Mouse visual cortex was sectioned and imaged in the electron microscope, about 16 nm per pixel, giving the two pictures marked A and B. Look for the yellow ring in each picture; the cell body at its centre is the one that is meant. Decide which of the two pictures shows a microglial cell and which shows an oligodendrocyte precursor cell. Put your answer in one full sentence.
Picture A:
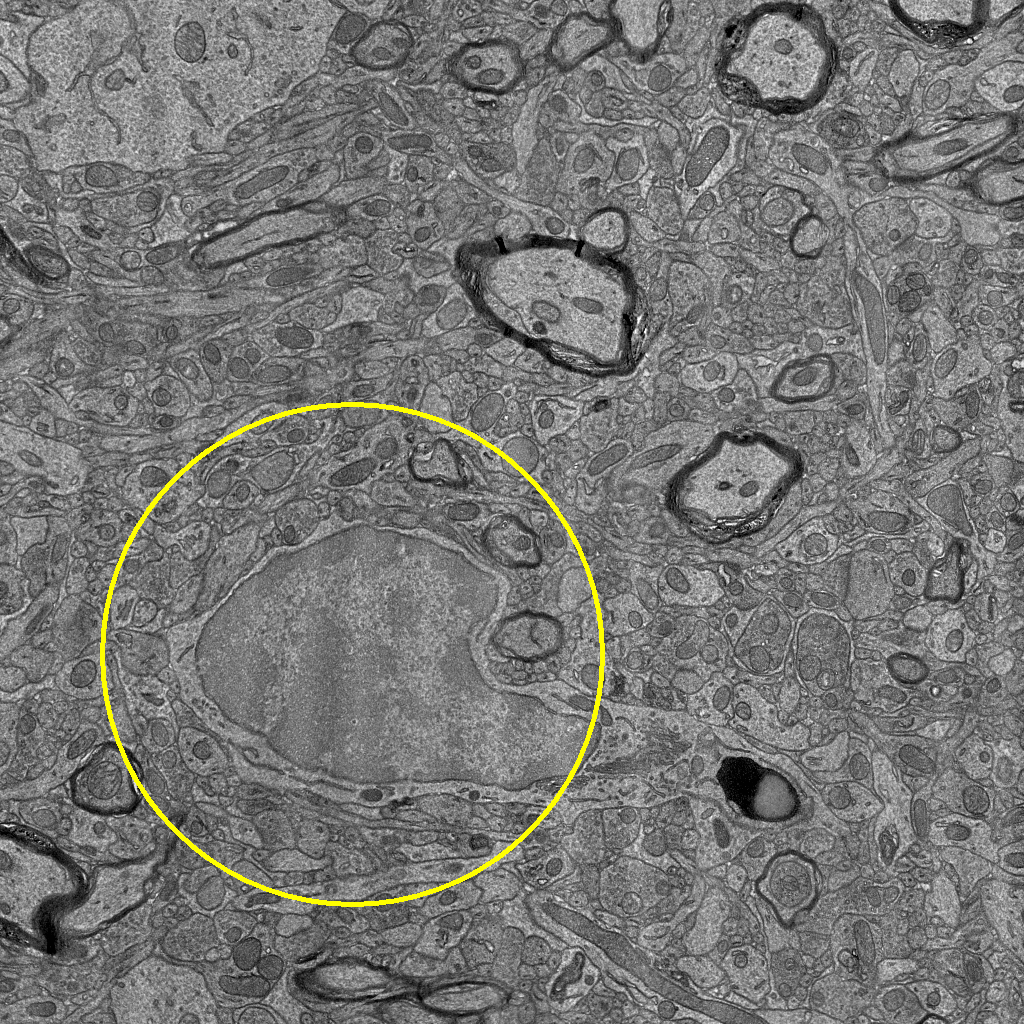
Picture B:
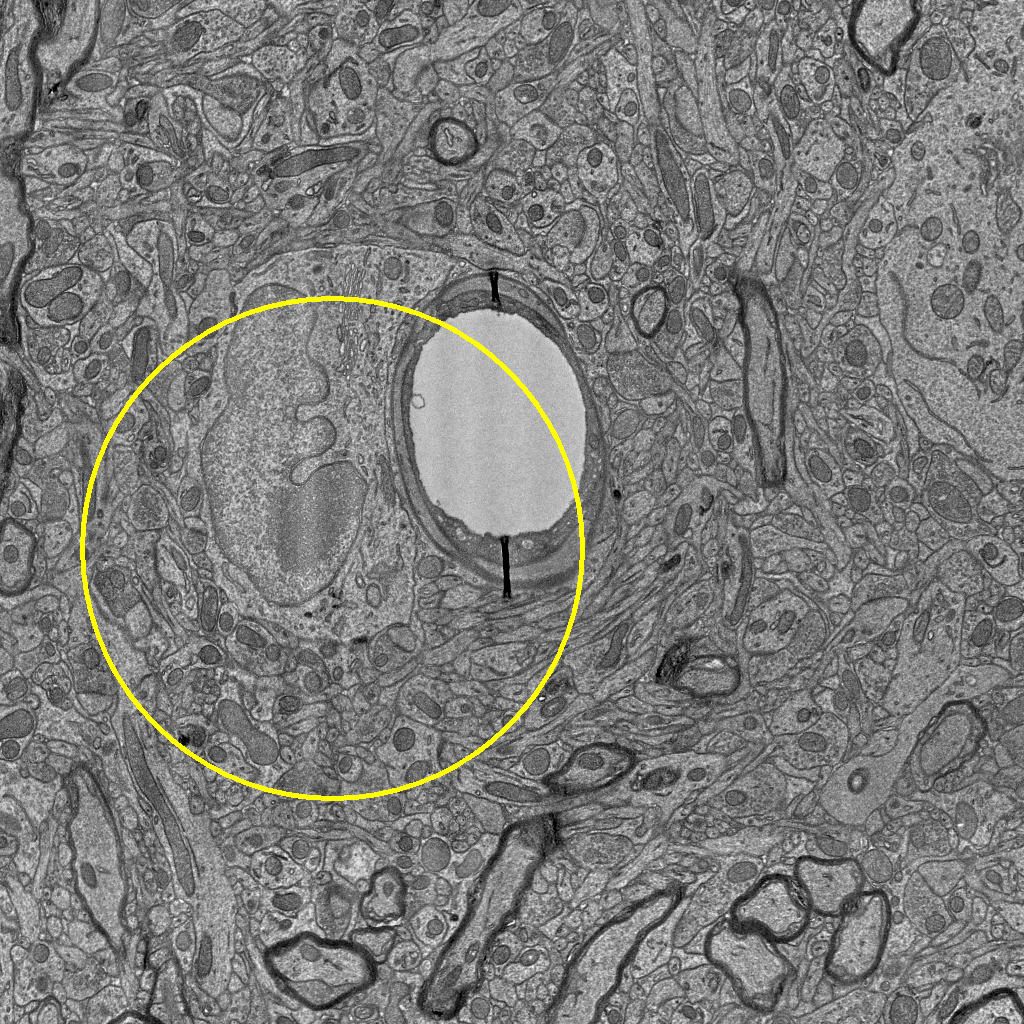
Picture A is of a microglial cell, and picture B is of an oligodendrocyte precursor cell.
